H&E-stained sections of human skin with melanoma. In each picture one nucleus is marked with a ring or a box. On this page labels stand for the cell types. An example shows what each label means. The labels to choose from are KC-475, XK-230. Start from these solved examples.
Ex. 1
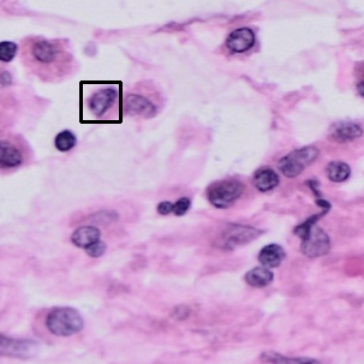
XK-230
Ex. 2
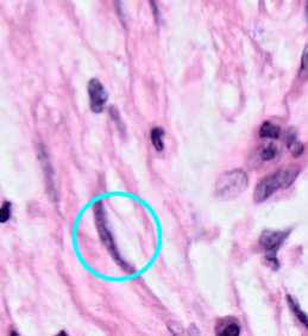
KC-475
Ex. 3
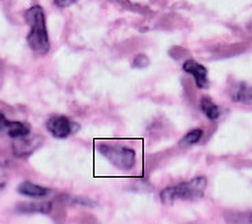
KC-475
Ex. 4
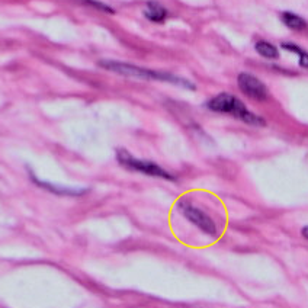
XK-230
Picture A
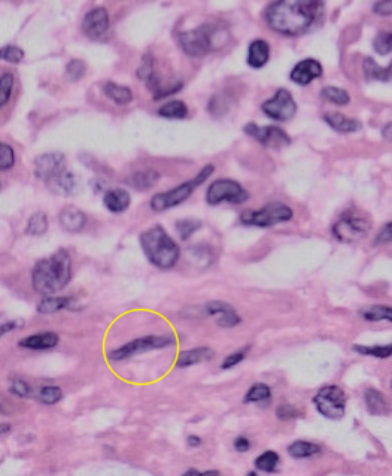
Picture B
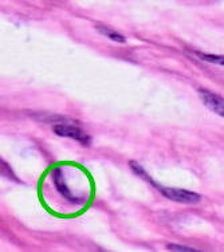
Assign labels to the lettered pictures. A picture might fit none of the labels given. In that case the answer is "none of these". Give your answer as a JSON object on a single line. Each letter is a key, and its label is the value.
{"A": "KC-475", "B": "KC-475"}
